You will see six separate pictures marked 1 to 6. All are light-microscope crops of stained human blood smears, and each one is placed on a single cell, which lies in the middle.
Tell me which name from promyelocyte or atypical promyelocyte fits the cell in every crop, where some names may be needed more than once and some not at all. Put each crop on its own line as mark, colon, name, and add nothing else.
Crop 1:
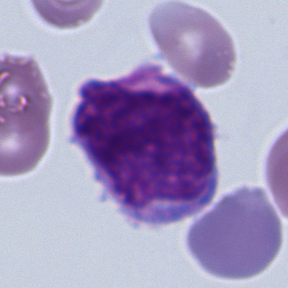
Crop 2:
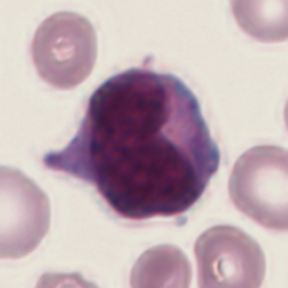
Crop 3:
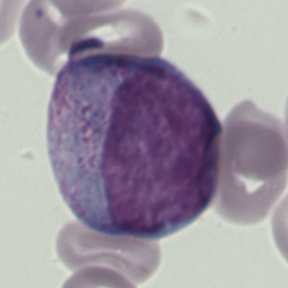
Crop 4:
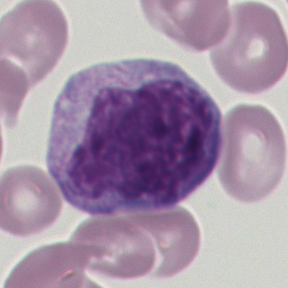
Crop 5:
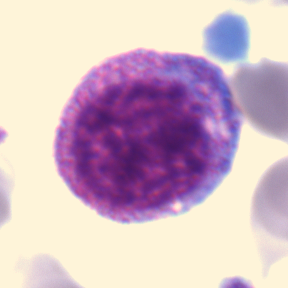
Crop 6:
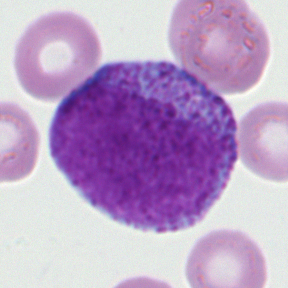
1: atypical promyelocyte
2: atypical promyelocyte
3: promyelocyte
4: atypical promyelocyte
5: promyelocyte
6: promyelocyte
